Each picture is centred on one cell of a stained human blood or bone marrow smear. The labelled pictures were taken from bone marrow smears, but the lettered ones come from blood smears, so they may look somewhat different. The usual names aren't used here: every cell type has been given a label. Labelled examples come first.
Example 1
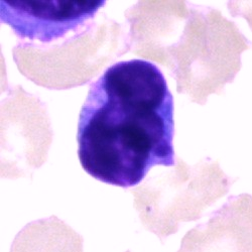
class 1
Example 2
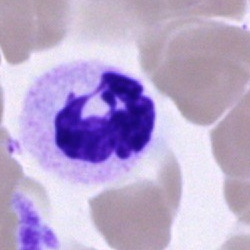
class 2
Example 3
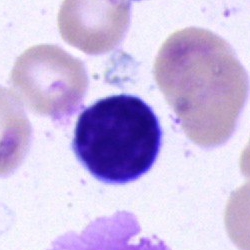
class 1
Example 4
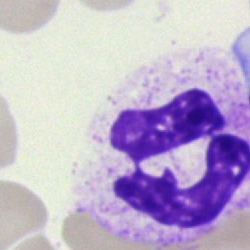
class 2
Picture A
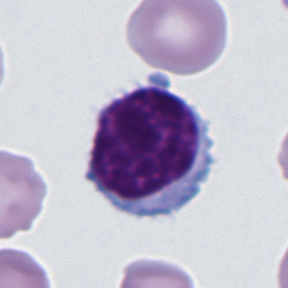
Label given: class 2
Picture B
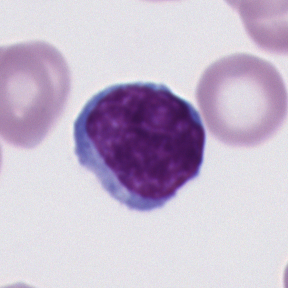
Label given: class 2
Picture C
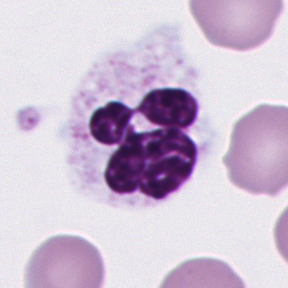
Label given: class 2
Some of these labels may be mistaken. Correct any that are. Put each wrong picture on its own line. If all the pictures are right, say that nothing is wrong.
A should be class 1, not class 2
B should be class 1, not class 2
